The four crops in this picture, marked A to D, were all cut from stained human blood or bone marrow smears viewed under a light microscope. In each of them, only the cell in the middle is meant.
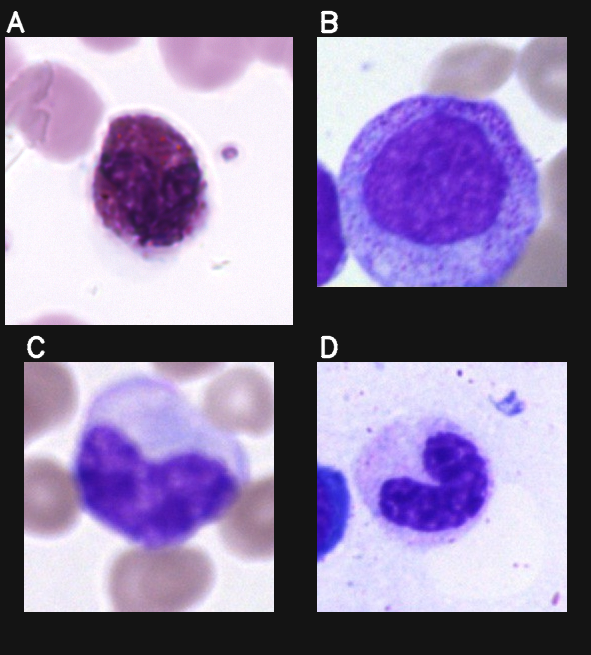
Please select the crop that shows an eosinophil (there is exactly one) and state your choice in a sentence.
In this series, an eosinophil is shown by crop A.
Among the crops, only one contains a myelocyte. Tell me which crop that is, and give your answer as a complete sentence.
Among these crops, crop B holds a myelocyte.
